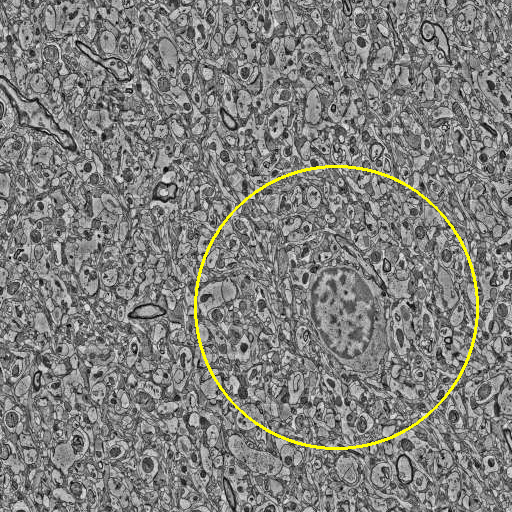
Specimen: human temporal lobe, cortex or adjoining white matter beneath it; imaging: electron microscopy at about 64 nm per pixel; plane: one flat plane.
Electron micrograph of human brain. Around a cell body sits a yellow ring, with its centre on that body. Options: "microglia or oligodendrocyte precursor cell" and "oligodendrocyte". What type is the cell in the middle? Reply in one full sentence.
The cell sitting at the centre of the yellow ring is an oligodendrocyte.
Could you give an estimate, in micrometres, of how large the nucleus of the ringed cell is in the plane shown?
About 6 by 4 micrometres in this plane.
